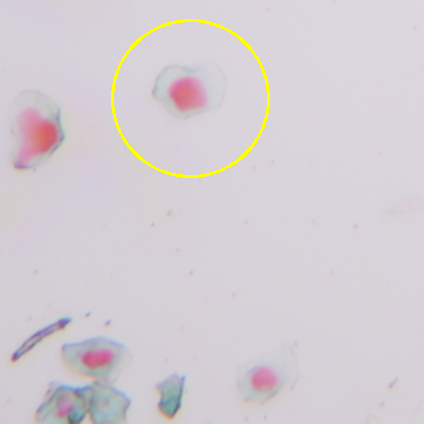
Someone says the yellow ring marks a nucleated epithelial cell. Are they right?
They are right: it is a nucleated epithelial cell.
